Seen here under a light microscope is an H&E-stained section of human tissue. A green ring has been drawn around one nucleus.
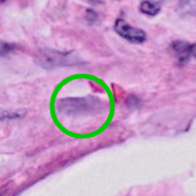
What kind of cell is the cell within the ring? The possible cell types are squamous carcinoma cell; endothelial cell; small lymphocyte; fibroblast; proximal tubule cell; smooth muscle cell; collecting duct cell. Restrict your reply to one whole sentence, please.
In this tissue section, the cell within the ring is to be classed as an endothelial cell.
